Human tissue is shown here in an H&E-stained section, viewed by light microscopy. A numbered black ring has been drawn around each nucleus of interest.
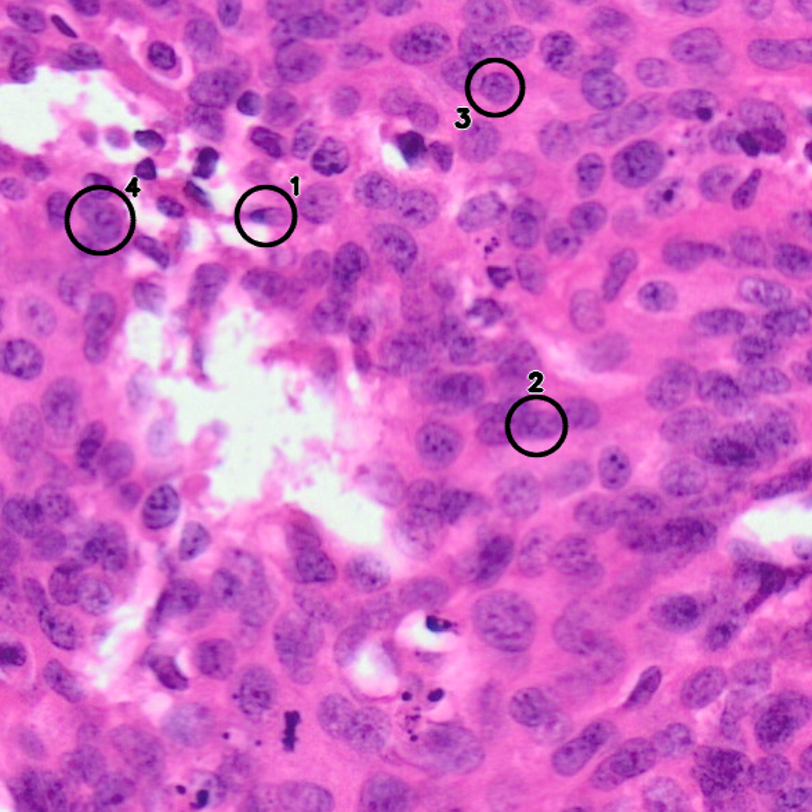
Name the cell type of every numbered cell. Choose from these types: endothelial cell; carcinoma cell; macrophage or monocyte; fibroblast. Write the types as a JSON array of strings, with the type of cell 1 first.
["macrophage or monocyte", "carcinoma cell", "carcinoma cell", "carcinoma cell"]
